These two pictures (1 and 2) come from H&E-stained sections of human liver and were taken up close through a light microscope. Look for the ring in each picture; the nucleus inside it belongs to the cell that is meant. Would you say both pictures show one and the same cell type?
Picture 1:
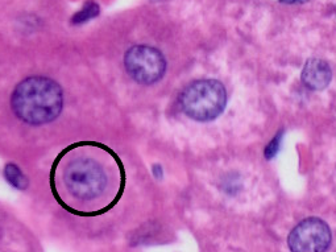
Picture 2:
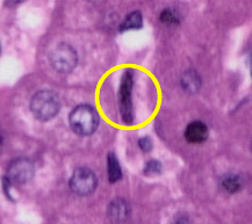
no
